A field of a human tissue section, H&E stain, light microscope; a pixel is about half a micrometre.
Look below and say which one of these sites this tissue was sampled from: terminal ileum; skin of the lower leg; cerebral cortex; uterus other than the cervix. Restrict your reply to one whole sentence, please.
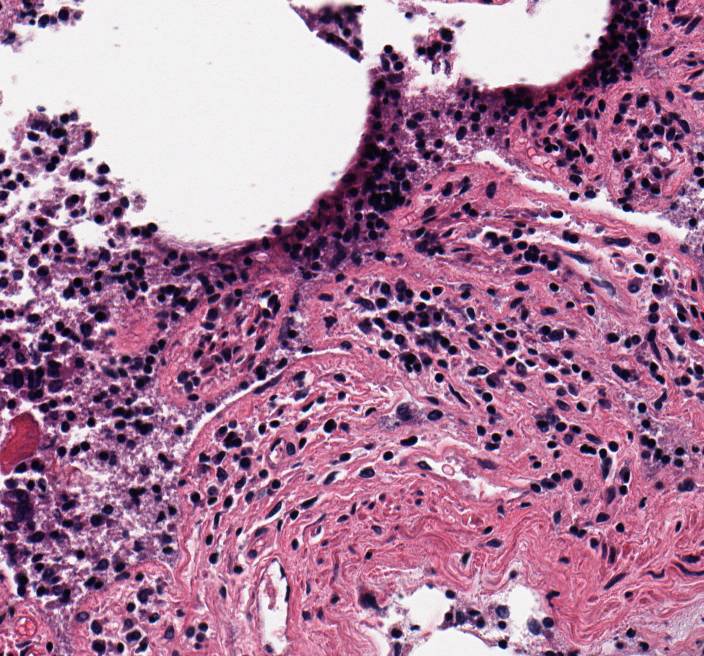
The tissue in view was sampled from the terminal ileum.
